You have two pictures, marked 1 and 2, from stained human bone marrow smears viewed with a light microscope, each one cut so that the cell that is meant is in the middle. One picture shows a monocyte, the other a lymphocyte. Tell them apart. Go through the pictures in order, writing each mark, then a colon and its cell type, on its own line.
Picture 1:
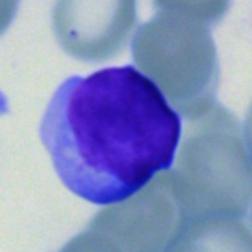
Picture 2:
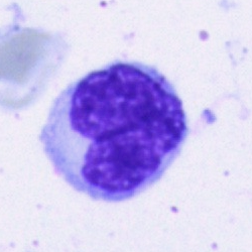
1: lymphocyte
2: monocyte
